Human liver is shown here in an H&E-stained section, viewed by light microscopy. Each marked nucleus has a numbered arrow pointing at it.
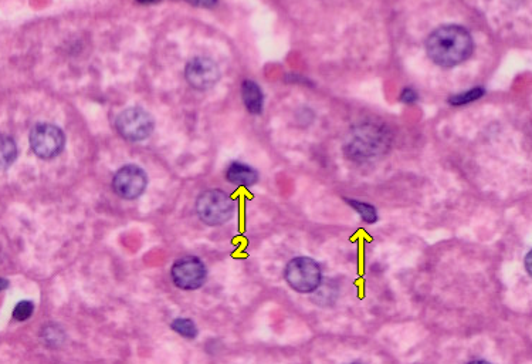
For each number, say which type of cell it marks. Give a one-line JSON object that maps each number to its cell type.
{"1": "endothelial cell", "2": "Kupffer cell"}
